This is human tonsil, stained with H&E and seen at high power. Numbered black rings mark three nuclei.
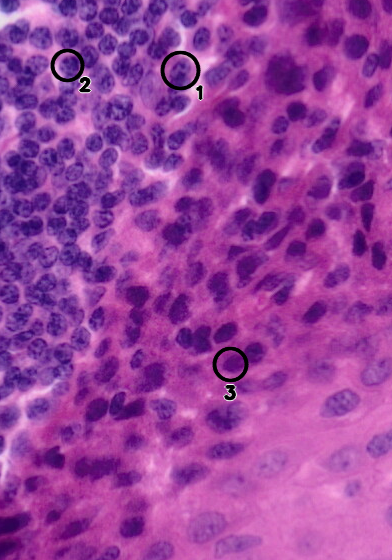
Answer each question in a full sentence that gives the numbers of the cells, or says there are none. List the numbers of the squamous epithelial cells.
Cell 3 is a squamous epithelial cell; every other numbered cell is something else.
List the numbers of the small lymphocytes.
Cell 2 is a small lymphocyte, and it is the only one.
